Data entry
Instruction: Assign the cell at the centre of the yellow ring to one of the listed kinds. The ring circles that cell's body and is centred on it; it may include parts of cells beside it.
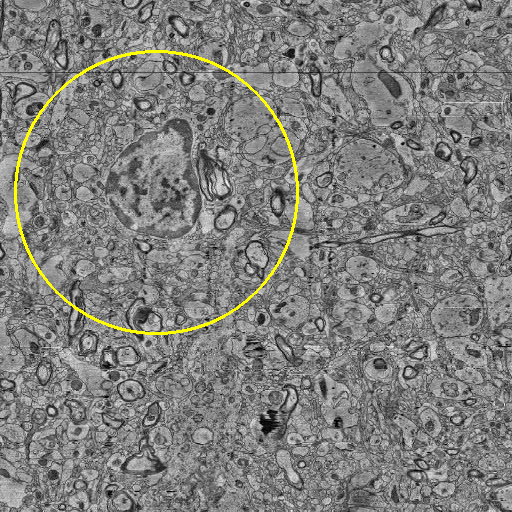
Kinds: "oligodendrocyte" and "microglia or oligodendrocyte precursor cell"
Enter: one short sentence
The centre of the ring falls on a microglial cell or oligodendrocyte precursor cell.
